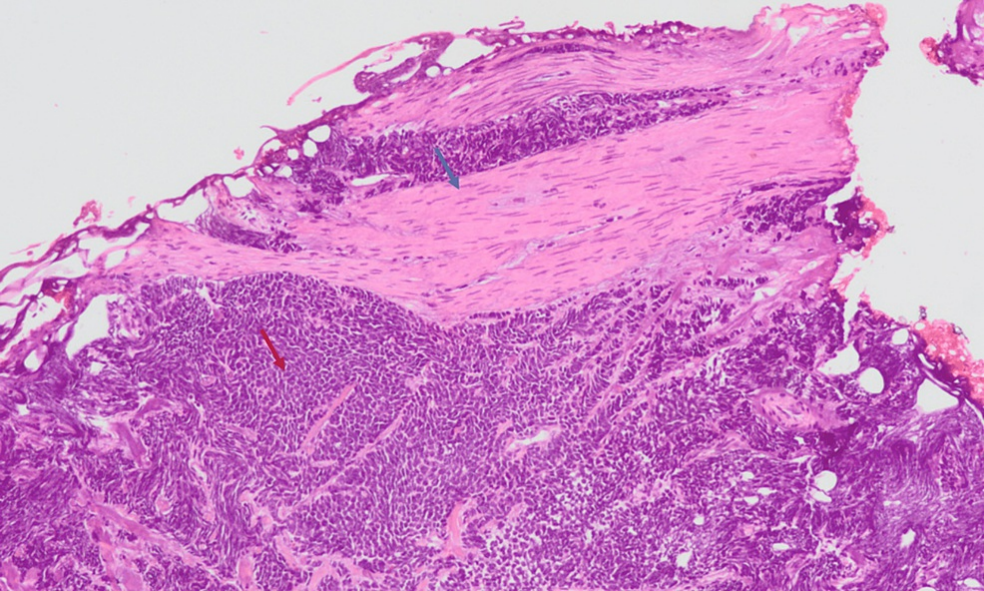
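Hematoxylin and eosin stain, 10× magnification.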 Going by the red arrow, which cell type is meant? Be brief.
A: small cells with hyperchromatic nuclei and scant cytoplasm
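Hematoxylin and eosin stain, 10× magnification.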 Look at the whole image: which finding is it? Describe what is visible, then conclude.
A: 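Invading the muscle layer. Clusters of dark small cells lie within and along the pink muscle band. The dense cell sheet abuts and extends into the muscle bundles.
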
